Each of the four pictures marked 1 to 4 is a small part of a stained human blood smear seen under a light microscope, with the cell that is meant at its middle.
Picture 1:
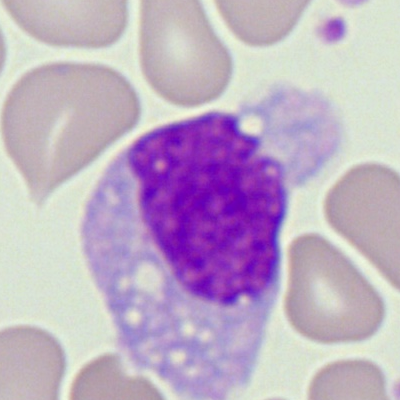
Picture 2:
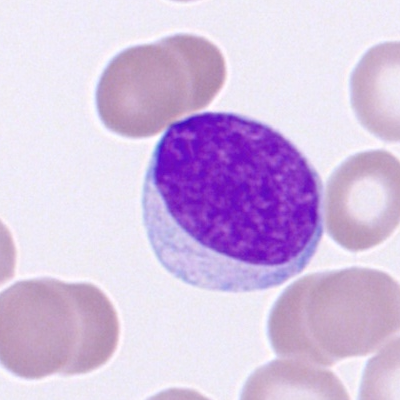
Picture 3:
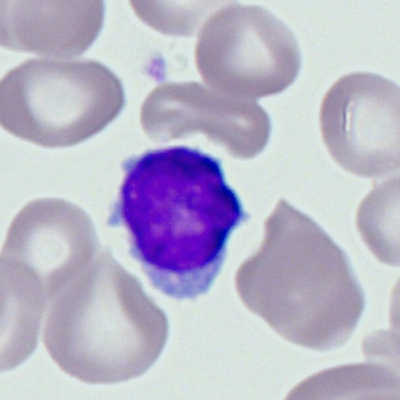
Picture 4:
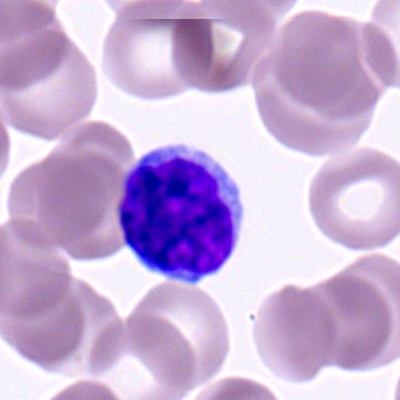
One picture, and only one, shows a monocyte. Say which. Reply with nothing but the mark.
1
